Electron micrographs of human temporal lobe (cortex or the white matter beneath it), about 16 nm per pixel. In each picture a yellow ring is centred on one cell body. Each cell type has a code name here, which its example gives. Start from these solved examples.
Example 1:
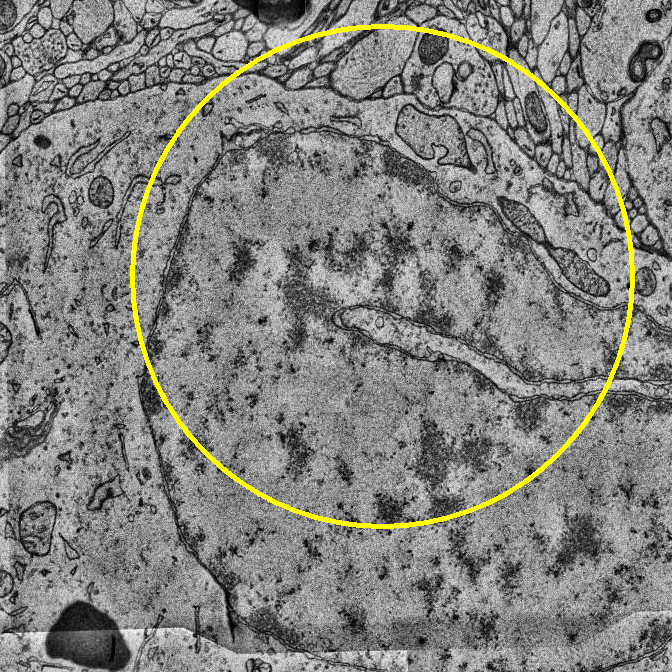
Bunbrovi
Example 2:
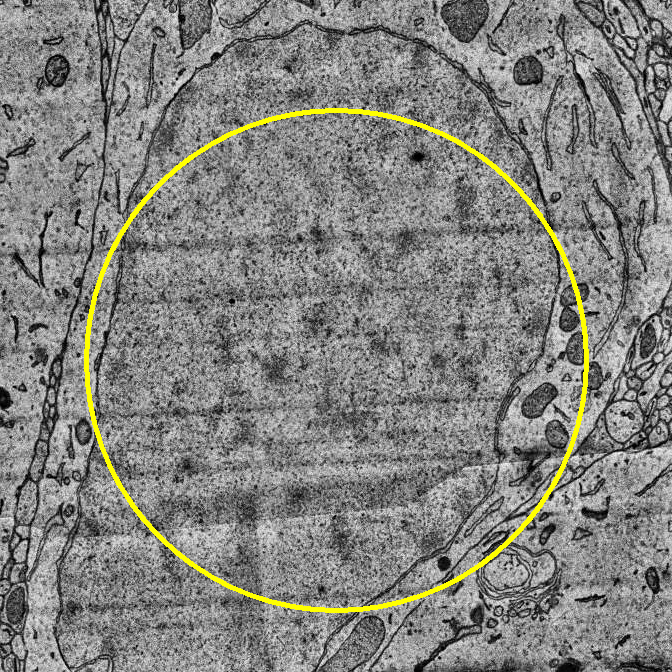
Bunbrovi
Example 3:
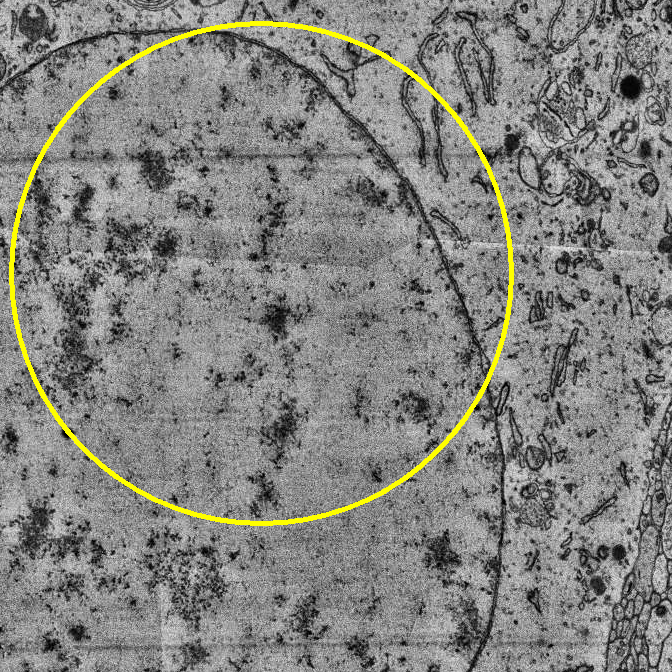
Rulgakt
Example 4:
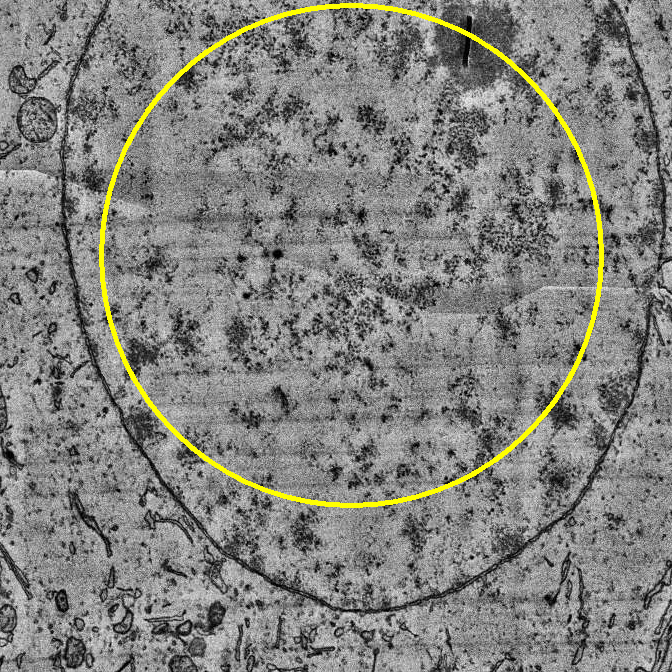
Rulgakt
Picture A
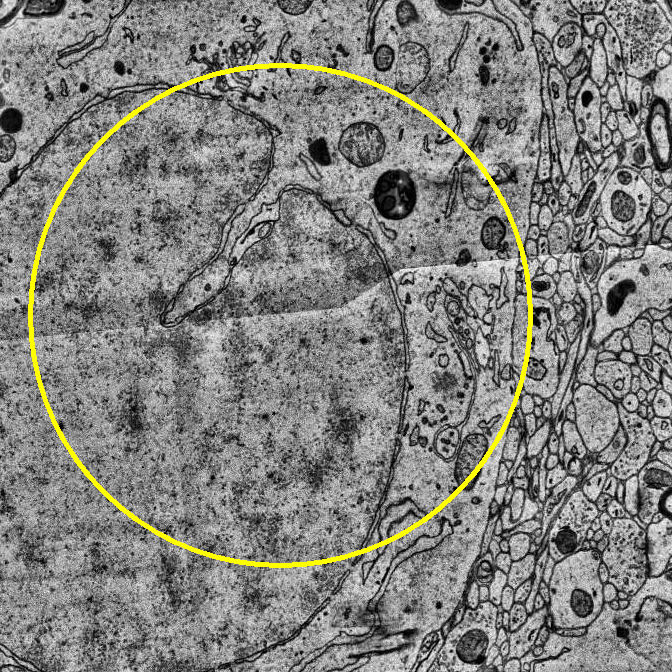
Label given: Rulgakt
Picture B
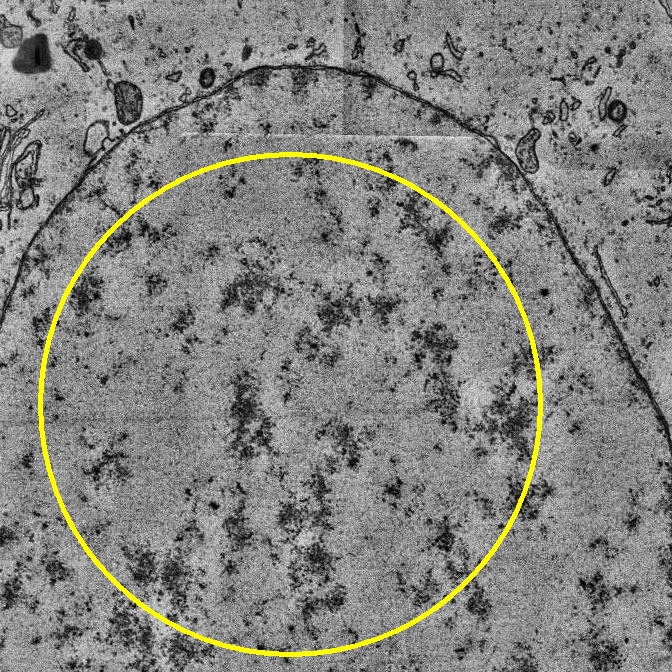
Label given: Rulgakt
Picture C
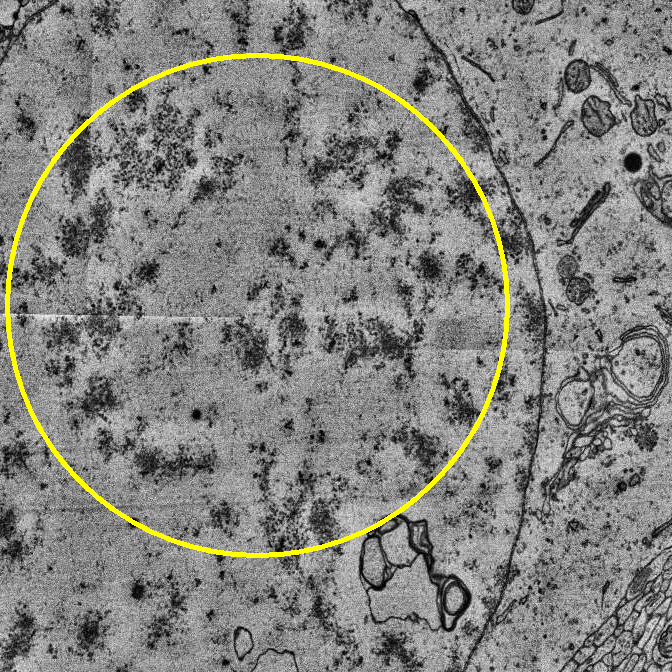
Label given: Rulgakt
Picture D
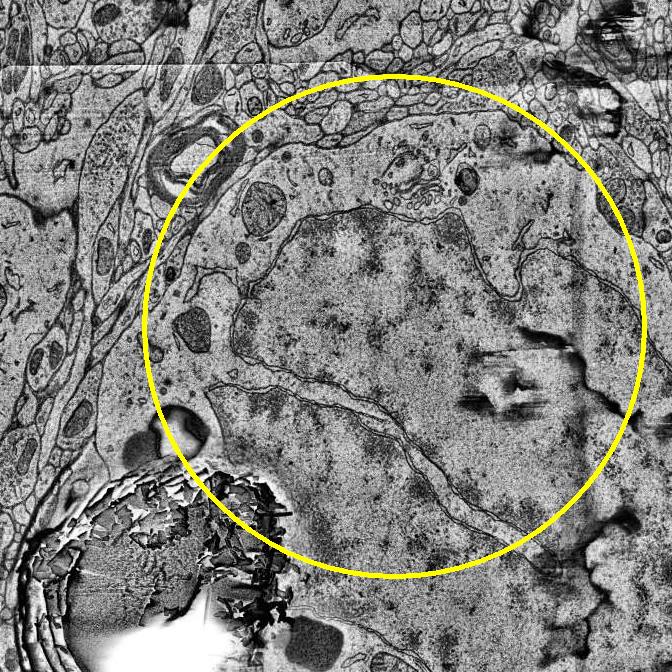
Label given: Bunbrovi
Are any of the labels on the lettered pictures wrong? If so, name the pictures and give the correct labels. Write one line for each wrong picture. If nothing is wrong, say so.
A is labelled Rulgakt; correct label: Bunbrovi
